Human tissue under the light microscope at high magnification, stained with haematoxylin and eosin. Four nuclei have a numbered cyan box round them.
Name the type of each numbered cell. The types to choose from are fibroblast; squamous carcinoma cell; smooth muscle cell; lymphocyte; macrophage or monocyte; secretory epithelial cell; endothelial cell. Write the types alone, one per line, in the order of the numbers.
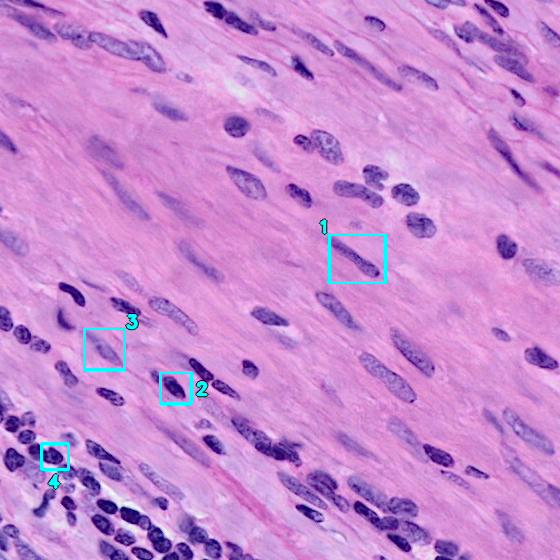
fibroblast
lymphocyte
fibroblast
lymphocyte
